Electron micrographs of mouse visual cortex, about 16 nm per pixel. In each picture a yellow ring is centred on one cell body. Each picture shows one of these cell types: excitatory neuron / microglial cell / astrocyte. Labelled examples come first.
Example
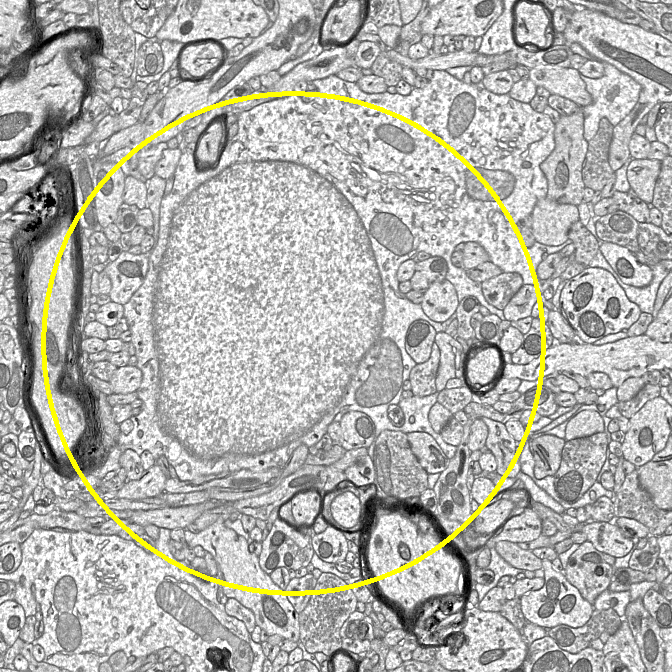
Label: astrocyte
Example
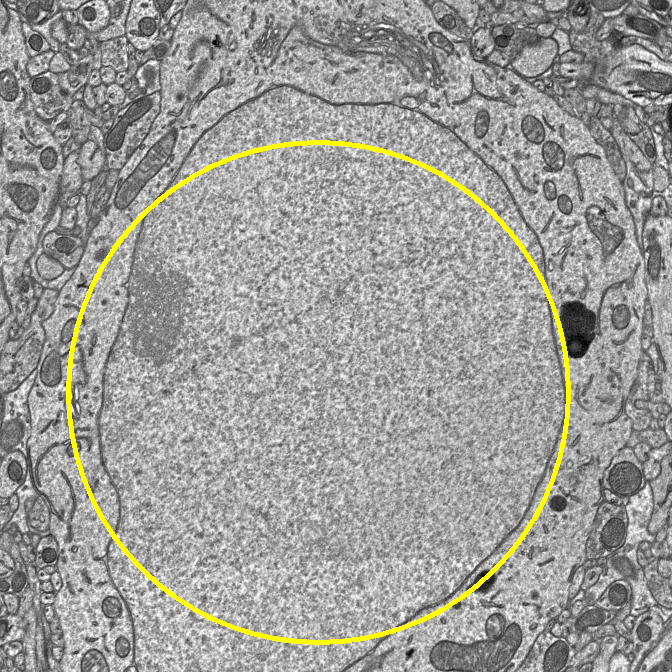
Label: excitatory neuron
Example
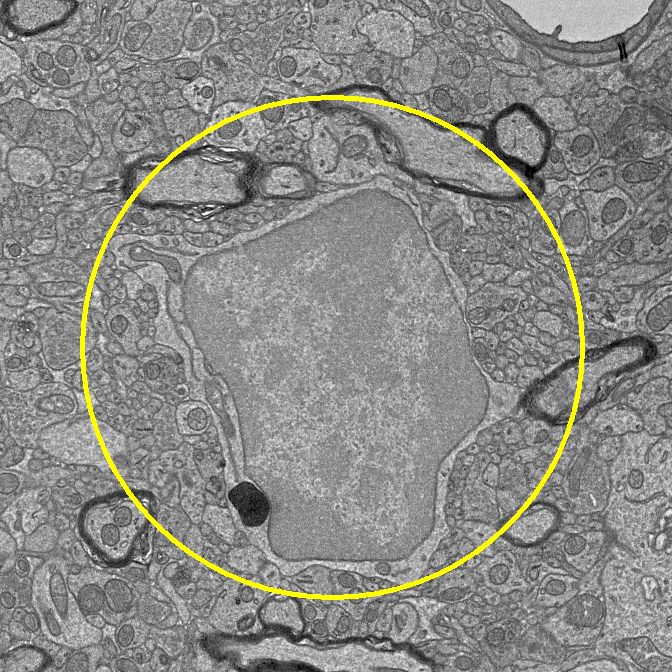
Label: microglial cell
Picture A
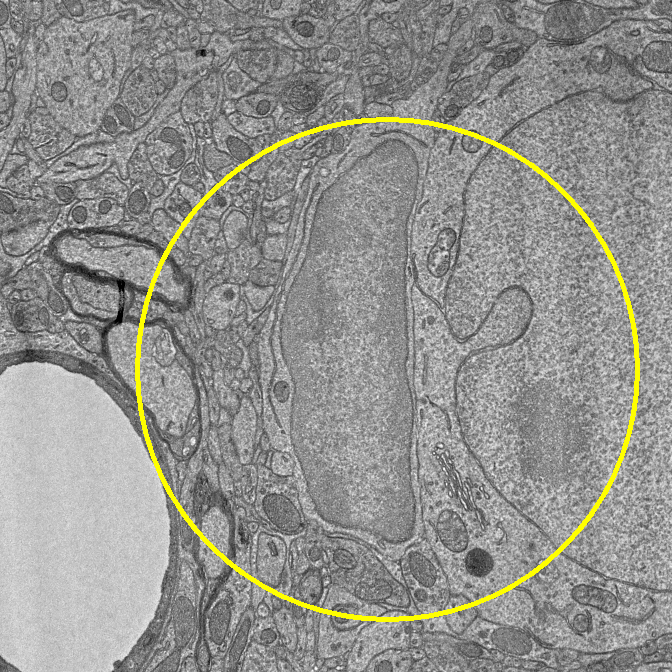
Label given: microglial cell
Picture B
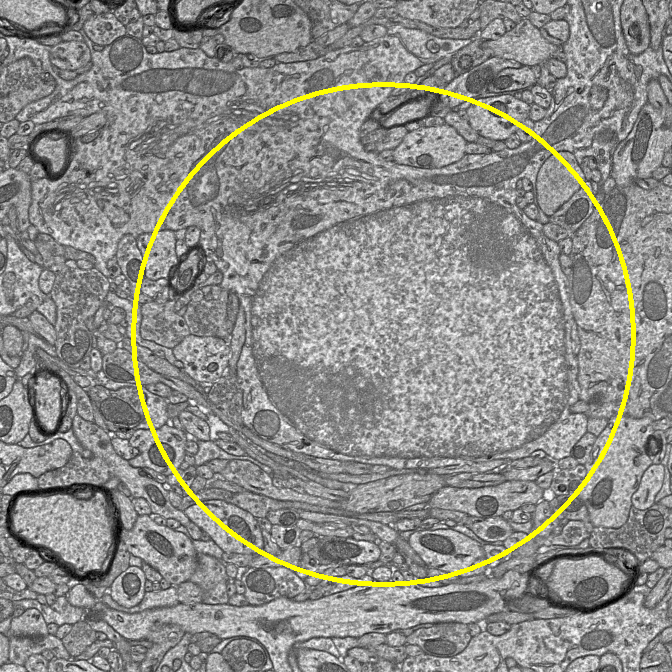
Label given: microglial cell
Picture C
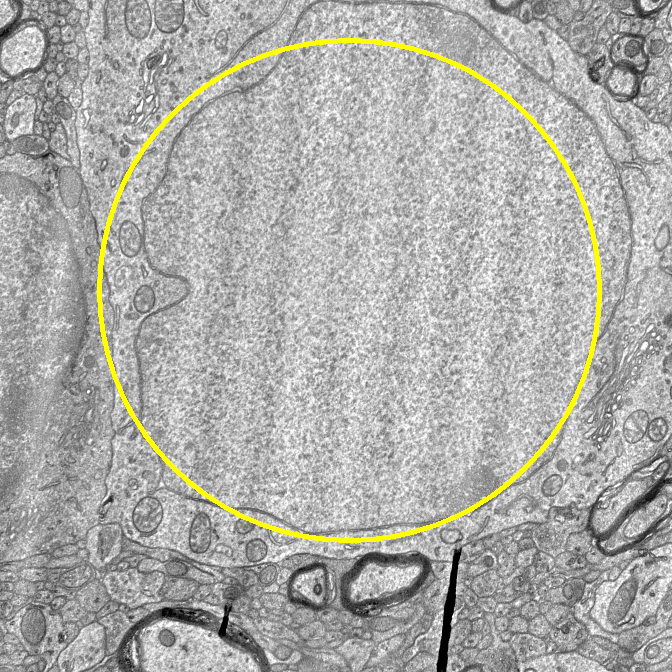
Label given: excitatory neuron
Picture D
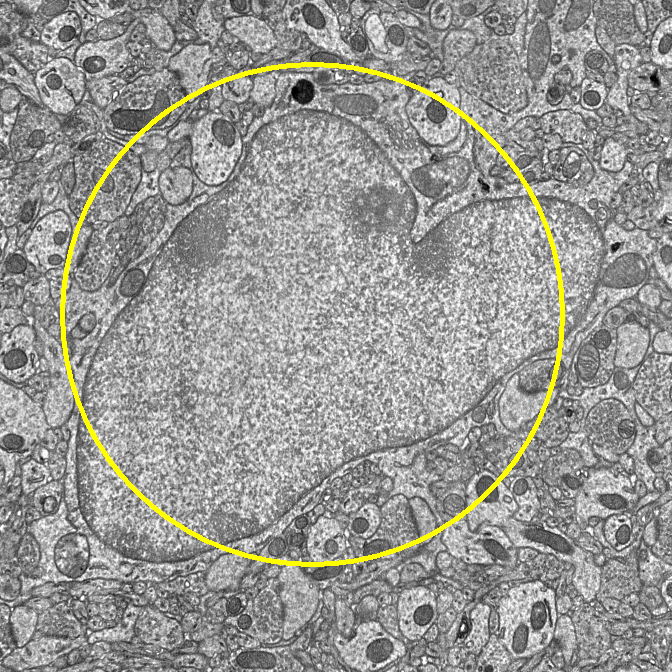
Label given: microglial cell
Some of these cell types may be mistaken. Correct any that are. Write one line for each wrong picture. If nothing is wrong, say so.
B: not microglial cell but astrocyte
D: not microglial cell but astrocyte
